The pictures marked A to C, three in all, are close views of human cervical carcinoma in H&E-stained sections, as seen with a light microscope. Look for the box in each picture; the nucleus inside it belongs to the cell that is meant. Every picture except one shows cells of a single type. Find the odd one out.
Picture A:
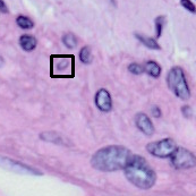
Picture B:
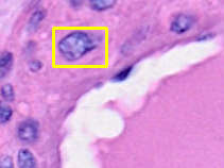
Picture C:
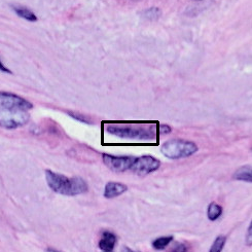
C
